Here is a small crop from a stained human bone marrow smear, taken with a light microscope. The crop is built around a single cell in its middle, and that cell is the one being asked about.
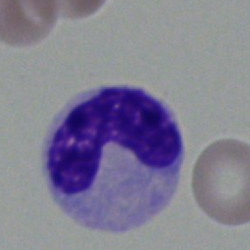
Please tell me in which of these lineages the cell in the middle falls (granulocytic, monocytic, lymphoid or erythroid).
granulocytic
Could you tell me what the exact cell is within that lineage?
band neutrophil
